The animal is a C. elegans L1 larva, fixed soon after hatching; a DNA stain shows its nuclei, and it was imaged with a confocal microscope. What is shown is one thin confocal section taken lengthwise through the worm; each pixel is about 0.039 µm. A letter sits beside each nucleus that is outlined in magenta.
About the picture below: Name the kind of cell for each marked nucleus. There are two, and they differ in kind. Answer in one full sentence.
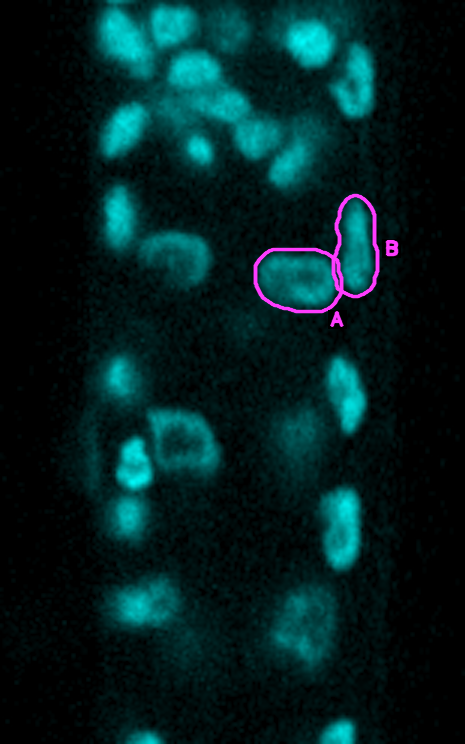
One is from an intestinal cell, namely A, and the other, B, is from a body wall muscle cell.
